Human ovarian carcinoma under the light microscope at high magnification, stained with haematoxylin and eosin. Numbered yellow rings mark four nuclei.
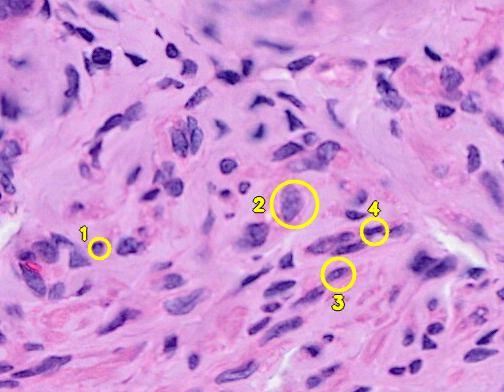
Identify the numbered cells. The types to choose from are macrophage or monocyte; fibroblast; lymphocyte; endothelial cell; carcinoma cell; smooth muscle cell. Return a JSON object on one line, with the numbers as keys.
{"1": "smooth muscle cell", "2": "endothelial cell", "3": "smooth muscle cell", "4": "smooth muscle cell"}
